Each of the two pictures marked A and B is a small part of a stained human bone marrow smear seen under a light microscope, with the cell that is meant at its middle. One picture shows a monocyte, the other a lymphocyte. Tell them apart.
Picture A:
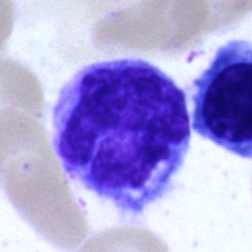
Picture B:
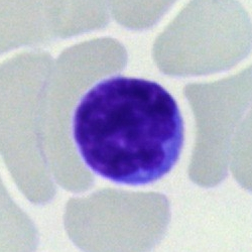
A: monocyte
B: lymphocyte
